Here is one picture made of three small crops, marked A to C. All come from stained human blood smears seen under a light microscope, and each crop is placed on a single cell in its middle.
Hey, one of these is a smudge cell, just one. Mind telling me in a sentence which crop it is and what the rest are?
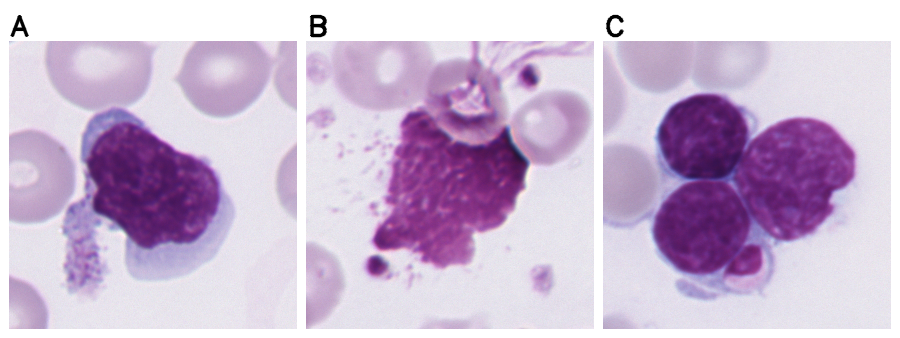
The centred cell in crop B is a smudge cell; meanwhile, crop A is a large granular lymphocyte and crop C is a myeloblast.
